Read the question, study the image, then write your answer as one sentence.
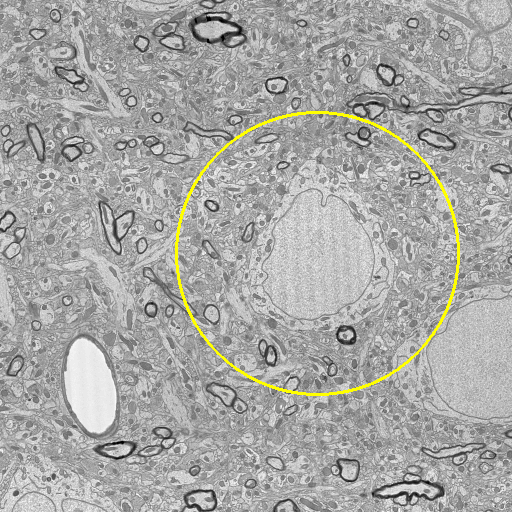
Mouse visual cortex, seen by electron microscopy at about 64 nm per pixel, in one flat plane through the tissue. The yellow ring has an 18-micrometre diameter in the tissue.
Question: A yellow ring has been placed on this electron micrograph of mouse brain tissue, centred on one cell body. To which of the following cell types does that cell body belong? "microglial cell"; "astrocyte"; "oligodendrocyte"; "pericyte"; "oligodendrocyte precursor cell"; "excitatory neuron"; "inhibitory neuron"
That cell body belongs to an excitatory neuron.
